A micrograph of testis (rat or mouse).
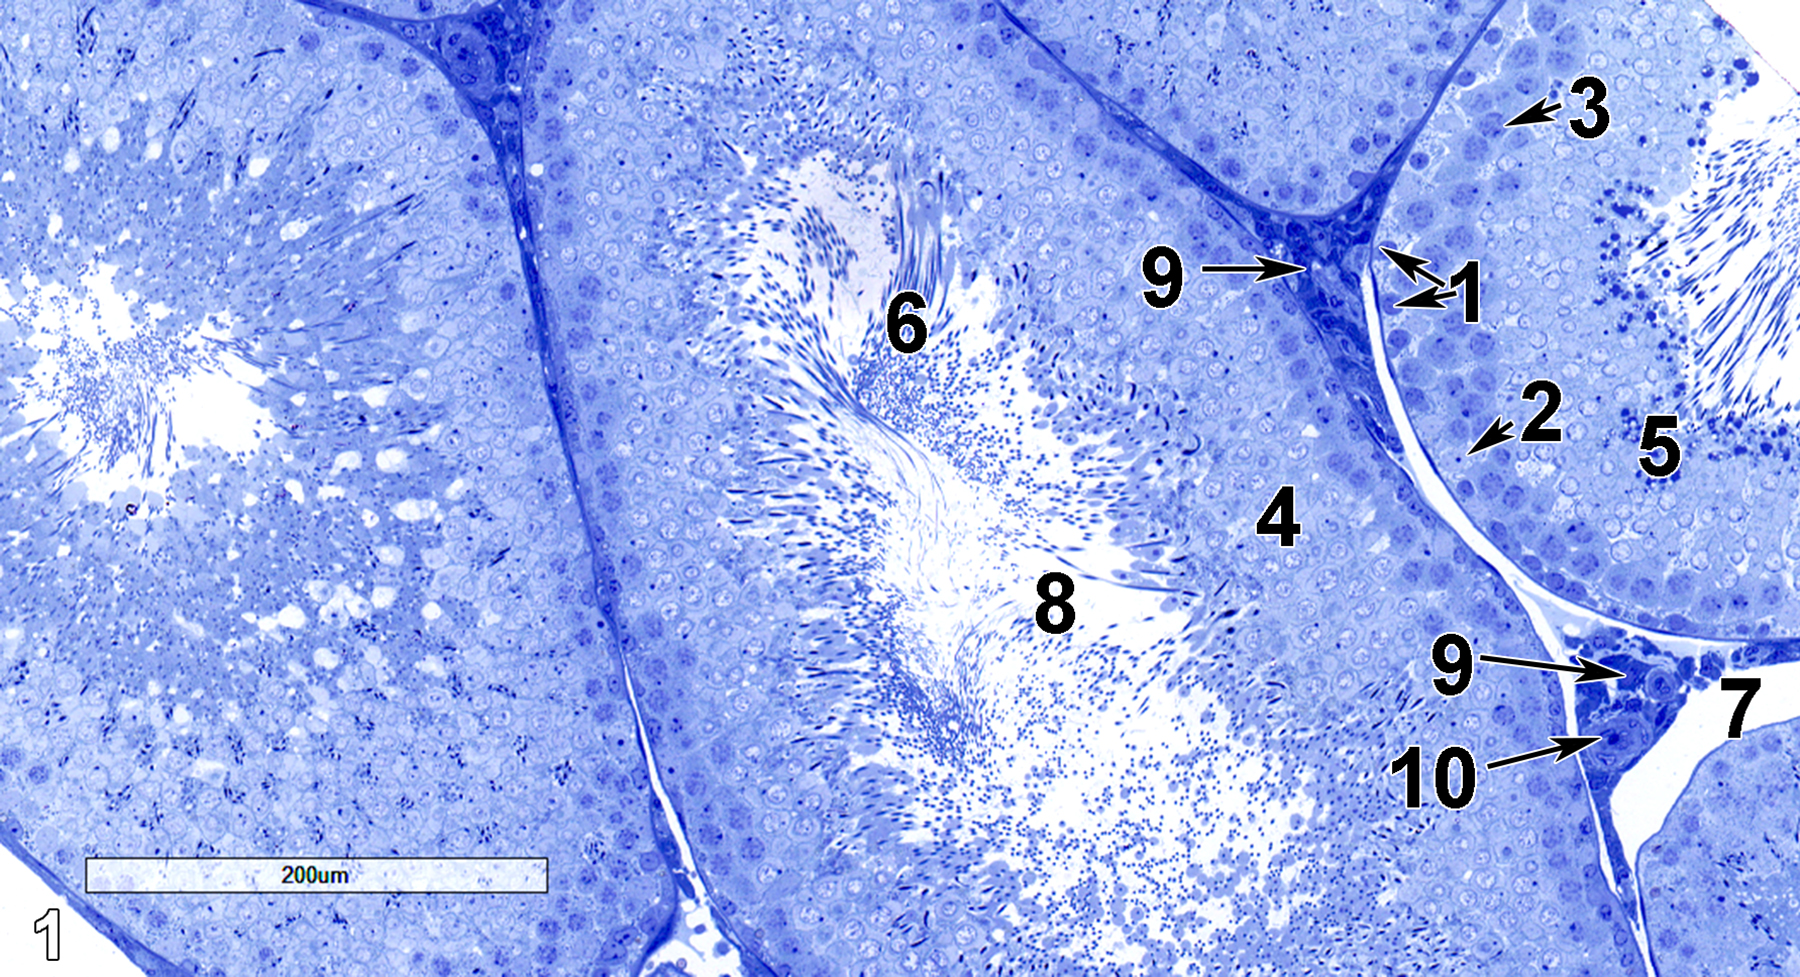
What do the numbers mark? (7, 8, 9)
7. peritubular lymphatic space
8. seminiferous tubule lumen
9. Leydig cells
